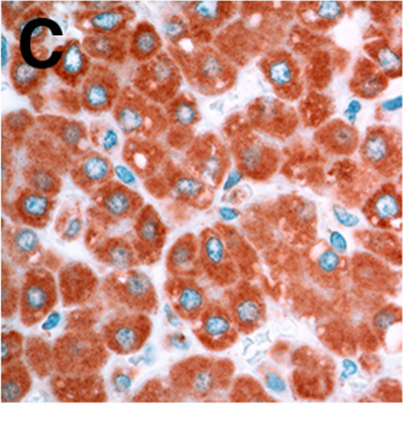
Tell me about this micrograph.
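This is liver at high magnification, with hepatocytes arranged in cords separated by pale sinusoidal spaces. The cytoplasm of the hepatocytes is packed with intense, granular brown staining. Their round nuclei are counterstained blue and sit centrally, some cells being binucleate. Small elongated blue nuclei of non-parenchymal cells lie in the spaces between the cords and are unstained.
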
